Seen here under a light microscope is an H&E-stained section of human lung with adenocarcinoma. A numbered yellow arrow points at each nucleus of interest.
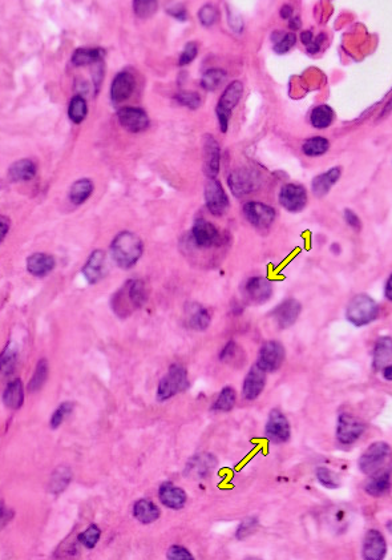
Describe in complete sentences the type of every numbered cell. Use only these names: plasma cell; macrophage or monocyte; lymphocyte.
Cell 1 is a plasma cell and cell 2 is a lymphocyte.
